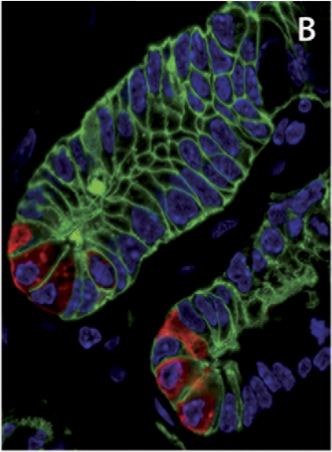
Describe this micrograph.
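Intestinal crypts are seen in section, lined by a single layer of tightly packed columnar epithelial cells whose cell membranes are outlined in green and whose oval nuclei are blue. The crypt cells are arranged radially around a narrow central lumen, with nuclei lying toward the basal side. Around the crypts lies connective tissue with scattered blue nuclei that lack the green membrane outline.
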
